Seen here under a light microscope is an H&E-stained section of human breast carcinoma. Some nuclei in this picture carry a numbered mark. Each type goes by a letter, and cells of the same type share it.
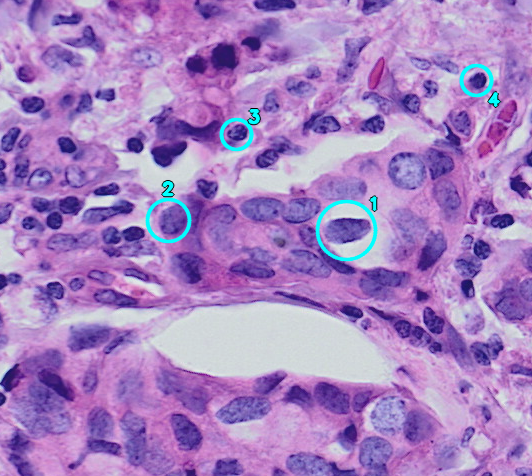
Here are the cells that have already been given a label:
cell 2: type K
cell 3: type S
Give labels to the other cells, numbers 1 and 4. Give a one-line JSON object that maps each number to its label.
{"1": "type K", "4": "type S"}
